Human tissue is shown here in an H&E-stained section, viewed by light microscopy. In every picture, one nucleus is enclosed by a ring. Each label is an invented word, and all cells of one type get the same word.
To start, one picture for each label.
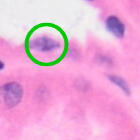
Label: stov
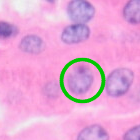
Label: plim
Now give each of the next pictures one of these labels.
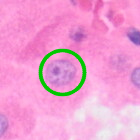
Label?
plim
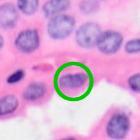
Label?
stov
